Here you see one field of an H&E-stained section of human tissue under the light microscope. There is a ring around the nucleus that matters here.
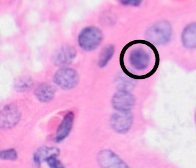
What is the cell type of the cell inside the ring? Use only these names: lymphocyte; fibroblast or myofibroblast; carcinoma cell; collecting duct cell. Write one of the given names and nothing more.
collecting duct cell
